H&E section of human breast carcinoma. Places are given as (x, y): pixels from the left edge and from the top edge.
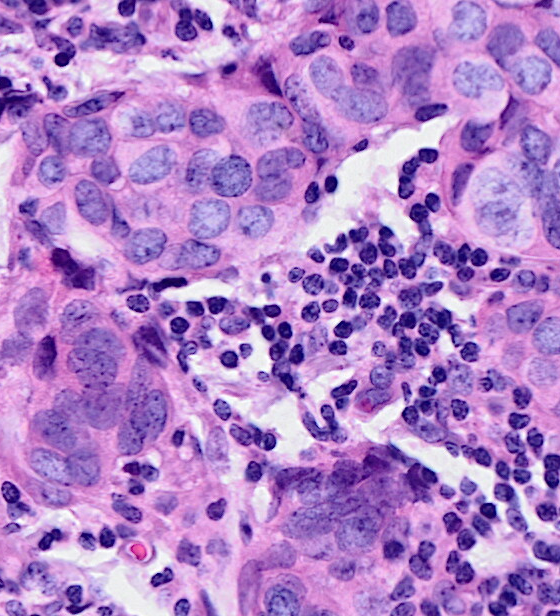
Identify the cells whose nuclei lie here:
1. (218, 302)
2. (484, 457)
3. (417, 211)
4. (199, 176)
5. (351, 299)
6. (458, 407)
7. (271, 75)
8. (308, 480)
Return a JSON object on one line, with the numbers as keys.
{"1": "lymphocyte", "2": "lymphocyte", "3": "lymphocyte", "4": "carcinoma cell", "5": "lymphocyte", "6": "lymphocyte", "7": "carcinoma cell", "8": "carcinoma cell"}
